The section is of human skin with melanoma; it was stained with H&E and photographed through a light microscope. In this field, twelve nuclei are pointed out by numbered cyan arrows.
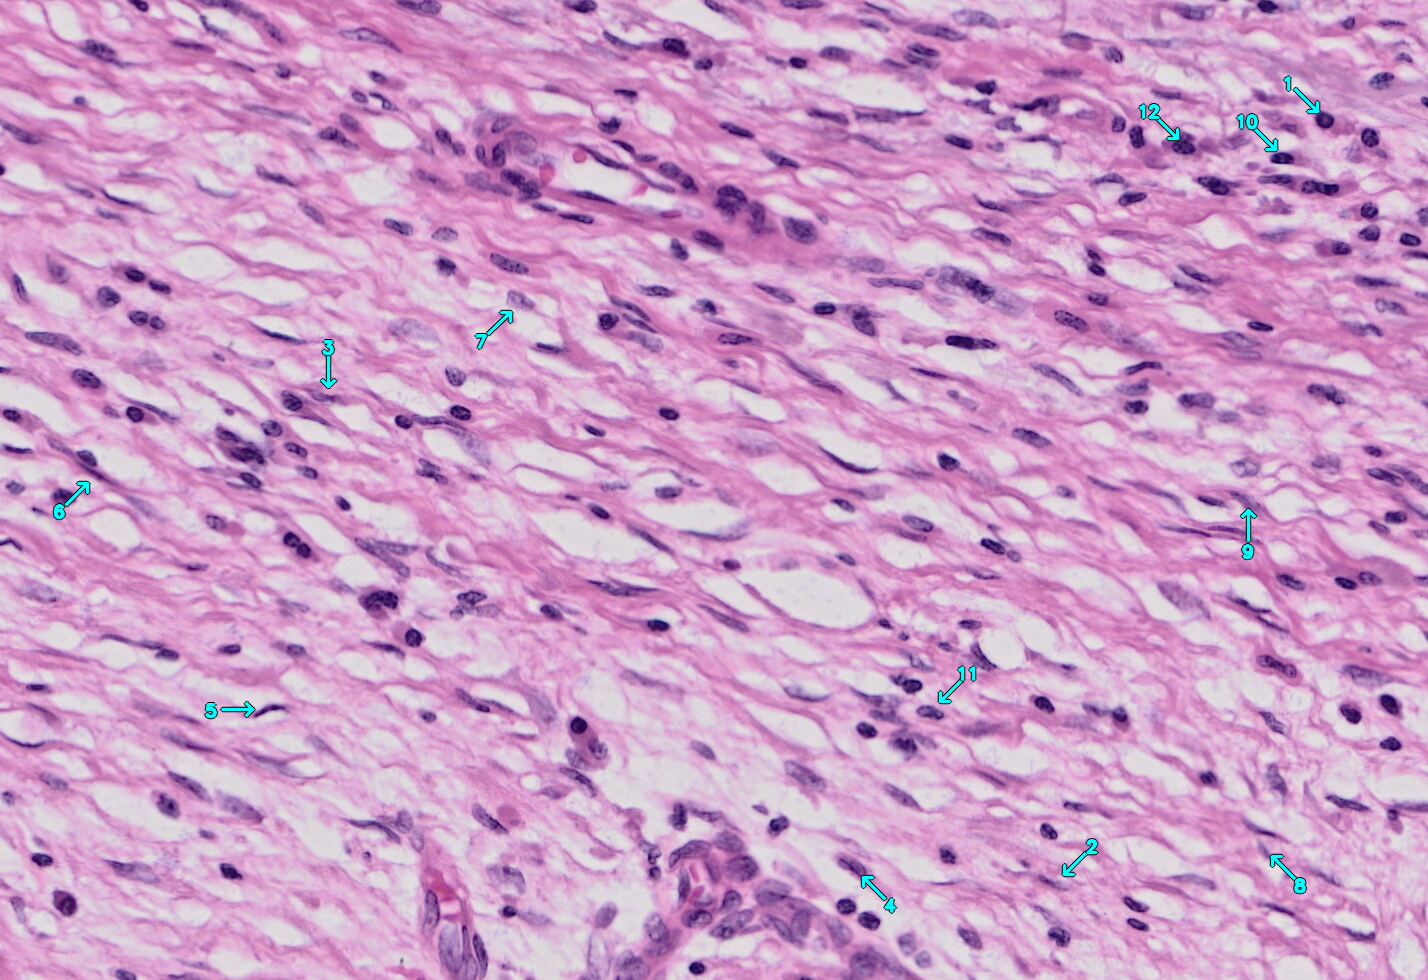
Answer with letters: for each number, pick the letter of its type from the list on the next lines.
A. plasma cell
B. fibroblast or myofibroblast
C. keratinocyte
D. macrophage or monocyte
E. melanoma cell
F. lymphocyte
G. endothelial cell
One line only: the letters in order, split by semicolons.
A; B; B; D; B; B; B; B; B; A; F; A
